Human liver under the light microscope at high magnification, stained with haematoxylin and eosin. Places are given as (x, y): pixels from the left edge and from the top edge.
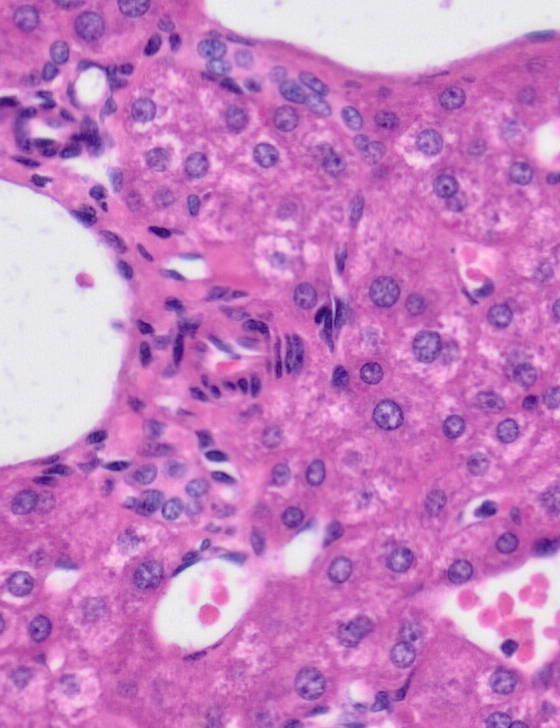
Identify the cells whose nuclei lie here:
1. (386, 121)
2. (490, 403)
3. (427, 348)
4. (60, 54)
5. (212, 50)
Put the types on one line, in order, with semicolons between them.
cholangiocyte; hepatocyte; hepatocyte; cholangiocyte; cholangiocyte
